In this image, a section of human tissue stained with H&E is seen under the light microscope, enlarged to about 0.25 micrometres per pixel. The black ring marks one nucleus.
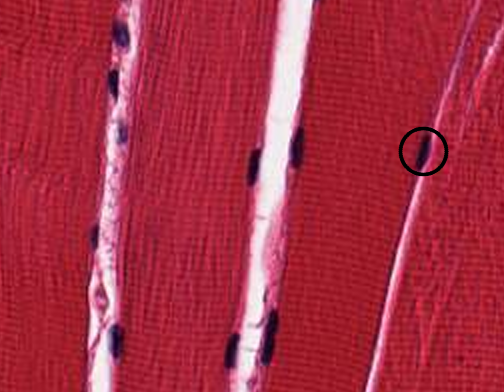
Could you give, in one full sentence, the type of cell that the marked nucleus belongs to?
The marked nucleus lies within a skeletal muscle fibre.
